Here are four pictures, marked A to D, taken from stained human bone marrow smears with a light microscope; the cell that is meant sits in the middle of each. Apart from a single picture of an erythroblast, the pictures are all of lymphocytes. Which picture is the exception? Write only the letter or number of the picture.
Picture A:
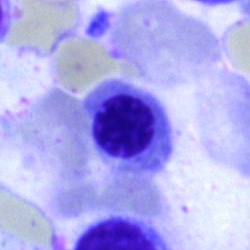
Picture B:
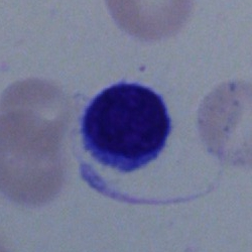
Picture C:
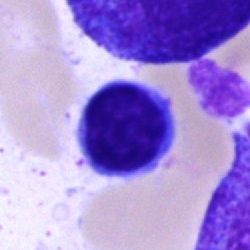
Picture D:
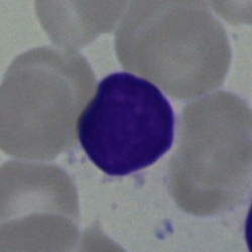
A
